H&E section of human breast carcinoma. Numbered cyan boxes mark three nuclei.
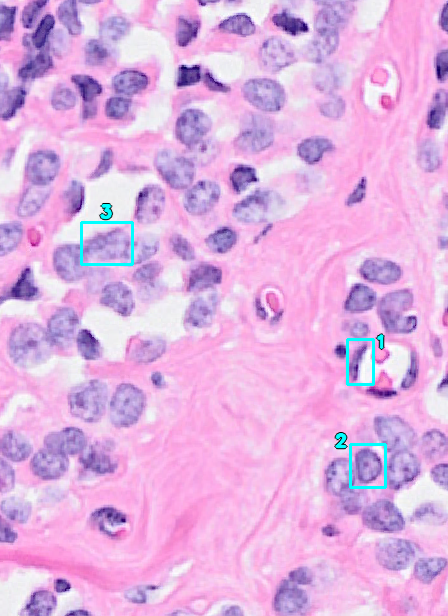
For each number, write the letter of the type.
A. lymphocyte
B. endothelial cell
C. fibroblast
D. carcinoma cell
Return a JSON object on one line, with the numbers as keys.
{"1": "B", "2": "D", "3": "D"}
